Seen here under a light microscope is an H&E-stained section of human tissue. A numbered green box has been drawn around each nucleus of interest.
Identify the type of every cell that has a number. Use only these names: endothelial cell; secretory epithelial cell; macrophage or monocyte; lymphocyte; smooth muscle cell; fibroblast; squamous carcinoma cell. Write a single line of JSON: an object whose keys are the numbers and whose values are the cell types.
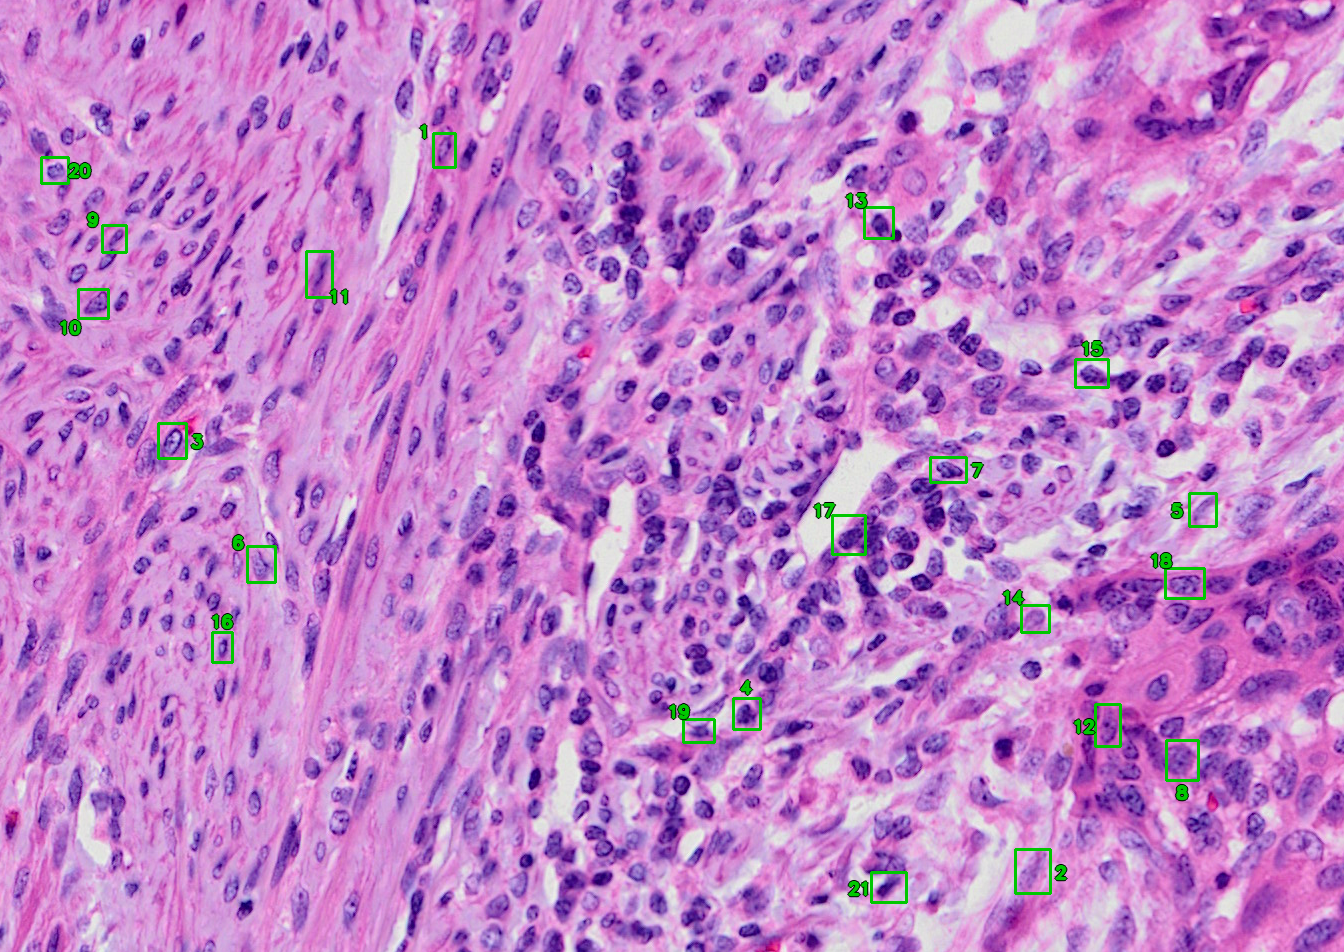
{"1": "endothelial cell", "2": "fibroblast", "3": "endothelial cell", "4": "lymphocyte", "5": "fibroblast", "6": "smooth muscle cell", "7": "lymphocyte", "8": "squamous carcinoma cell", "9": "smooth muscle cell", "10": "smooth muscle cell", "11": "smooth muscle cell", "12": "squamous carcinoma cell", "13": "lymphocyte", "14": "macrophage or monocyte", "15": "lymphocyte", "16": "smooth muscle cell", "17": "lymphocyte", "18": "squamous carcinoma cell", "19": "lymphocyte", "20": "lymphocyte", "21": "lymphocyte"}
